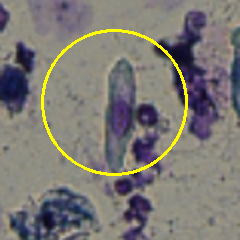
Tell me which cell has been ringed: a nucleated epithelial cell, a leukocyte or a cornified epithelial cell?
It is a nucleated epithelial cell.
